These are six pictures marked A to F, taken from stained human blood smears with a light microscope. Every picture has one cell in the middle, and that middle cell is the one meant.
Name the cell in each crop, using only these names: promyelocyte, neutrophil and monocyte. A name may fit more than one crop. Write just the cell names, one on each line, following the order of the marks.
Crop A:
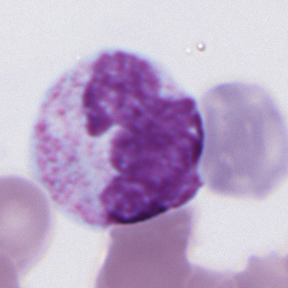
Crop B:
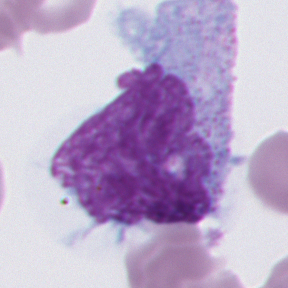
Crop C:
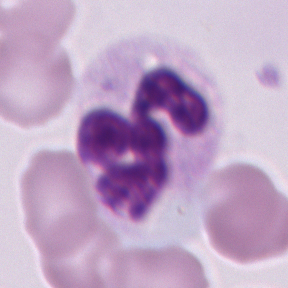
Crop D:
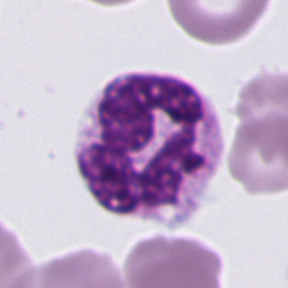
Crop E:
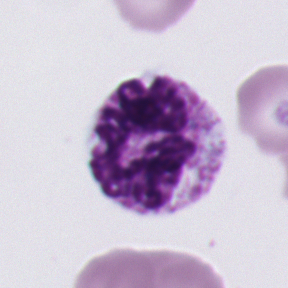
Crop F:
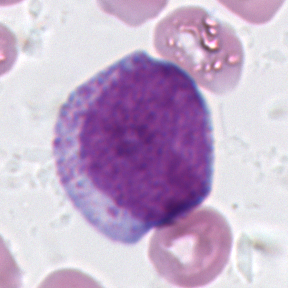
neutrophil
monocyte
neutrophil
neutrophil
neutrophil
promyelocyte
